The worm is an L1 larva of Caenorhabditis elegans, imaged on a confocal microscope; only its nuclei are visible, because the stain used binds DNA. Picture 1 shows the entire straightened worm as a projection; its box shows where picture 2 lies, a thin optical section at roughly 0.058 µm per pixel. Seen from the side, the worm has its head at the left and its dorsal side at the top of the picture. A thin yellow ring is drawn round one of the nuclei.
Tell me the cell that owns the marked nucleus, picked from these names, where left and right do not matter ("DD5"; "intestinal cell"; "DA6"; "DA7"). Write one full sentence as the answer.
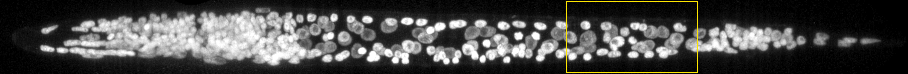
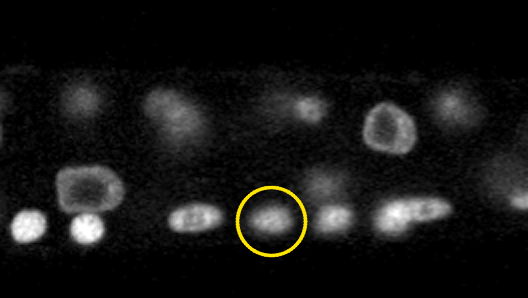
It is the nucleus of DD5, a neuron.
